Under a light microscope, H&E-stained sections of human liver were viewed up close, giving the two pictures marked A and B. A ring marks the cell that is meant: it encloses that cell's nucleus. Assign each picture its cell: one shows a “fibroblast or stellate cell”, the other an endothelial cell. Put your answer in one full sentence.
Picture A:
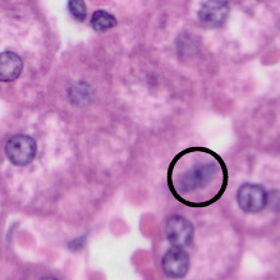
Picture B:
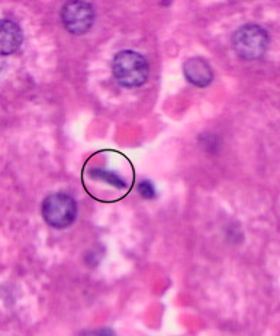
Picture A shows a “fibroblast or stellate cell” and picture B shows an endothelial cell.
